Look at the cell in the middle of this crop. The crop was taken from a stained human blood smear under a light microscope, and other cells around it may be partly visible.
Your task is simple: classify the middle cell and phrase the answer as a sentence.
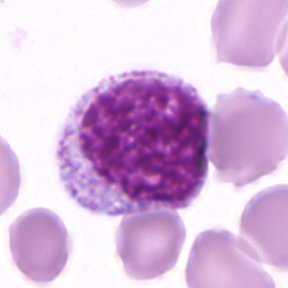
Located at the centre of the crop is a metamyelocyte.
